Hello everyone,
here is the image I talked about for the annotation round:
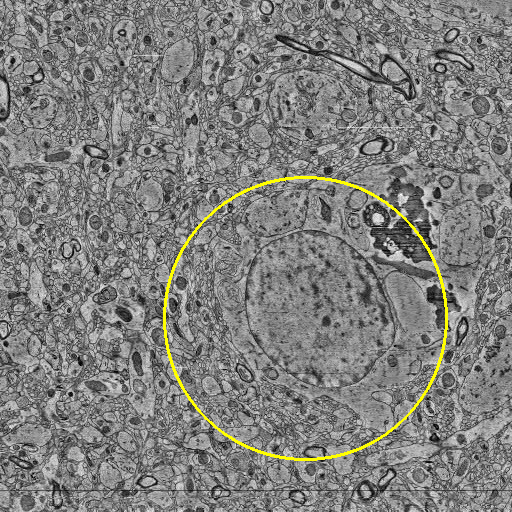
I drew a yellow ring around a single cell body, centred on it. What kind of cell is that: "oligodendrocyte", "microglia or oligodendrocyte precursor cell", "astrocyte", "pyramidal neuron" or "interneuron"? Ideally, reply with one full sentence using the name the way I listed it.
The cell your yellow ring is centred on is an astrocyte, going by your list.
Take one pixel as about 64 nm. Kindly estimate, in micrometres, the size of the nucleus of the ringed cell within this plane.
About 11 by 9 micrometers, in this plane.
